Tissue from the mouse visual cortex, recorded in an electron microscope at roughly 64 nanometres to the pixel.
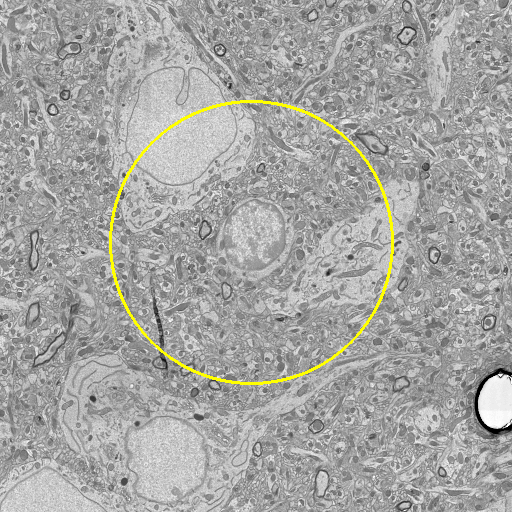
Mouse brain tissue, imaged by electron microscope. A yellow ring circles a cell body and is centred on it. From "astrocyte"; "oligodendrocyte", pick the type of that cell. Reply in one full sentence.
The cell body at the centre of the yellow ring belongs to an oligodendrocyte.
